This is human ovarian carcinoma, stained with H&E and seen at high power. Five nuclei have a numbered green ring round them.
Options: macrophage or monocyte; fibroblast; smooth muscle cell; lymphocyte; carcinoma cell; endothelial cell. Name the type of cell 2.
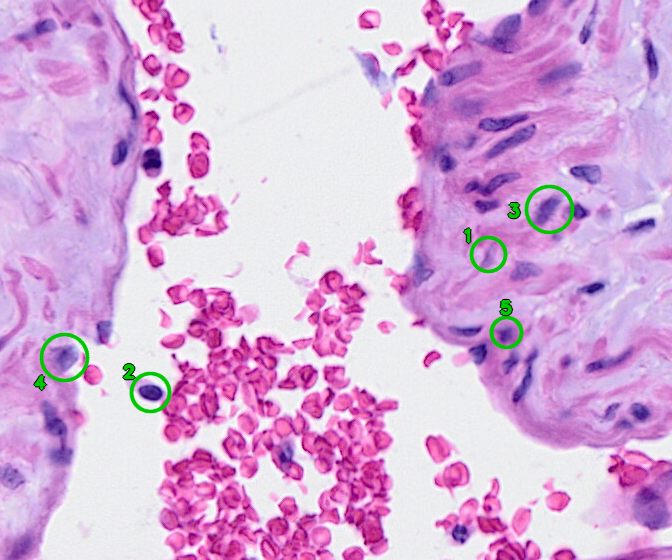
lymphocyte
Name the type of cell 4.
endothelial cell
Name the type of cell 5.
smooth muscle cell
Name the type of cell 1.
smooth muscle cell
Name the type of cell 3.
smooth muscle cell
